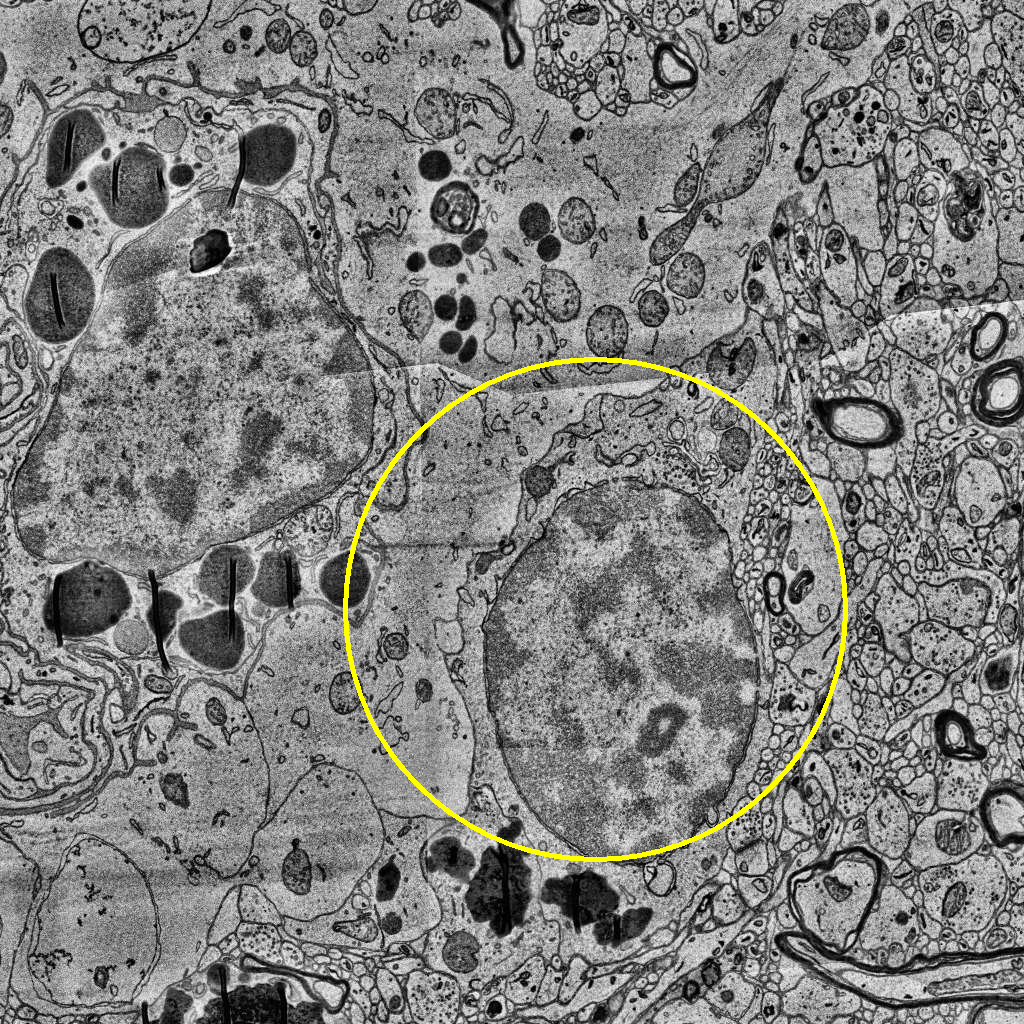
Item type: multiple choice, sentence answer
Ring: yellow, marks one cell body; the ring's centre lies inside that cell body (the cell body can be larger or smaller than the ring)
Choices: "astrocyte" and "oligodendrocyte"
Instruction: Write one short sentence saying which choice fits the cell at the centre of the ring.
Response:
The centre of this ring lies on an oligodendrocyte.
